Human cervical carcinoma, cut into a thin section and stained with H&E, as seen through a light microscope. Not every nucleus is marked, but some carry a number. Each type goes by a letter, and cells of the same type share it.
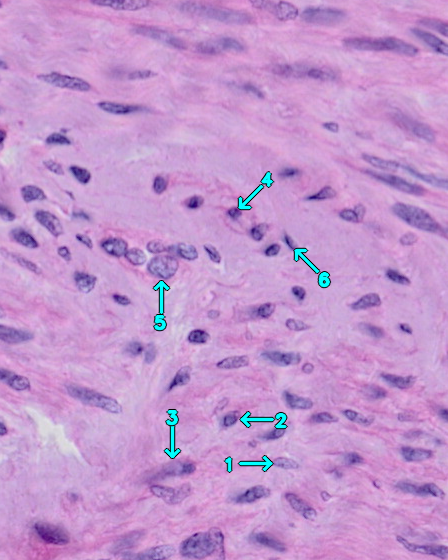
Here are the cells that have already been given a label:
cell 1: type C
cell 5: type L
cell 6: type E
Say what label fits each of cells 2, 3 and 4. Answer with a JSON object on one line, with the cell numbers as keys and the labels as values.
{"2": "type C", "3": "type C", "4": "type C"}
